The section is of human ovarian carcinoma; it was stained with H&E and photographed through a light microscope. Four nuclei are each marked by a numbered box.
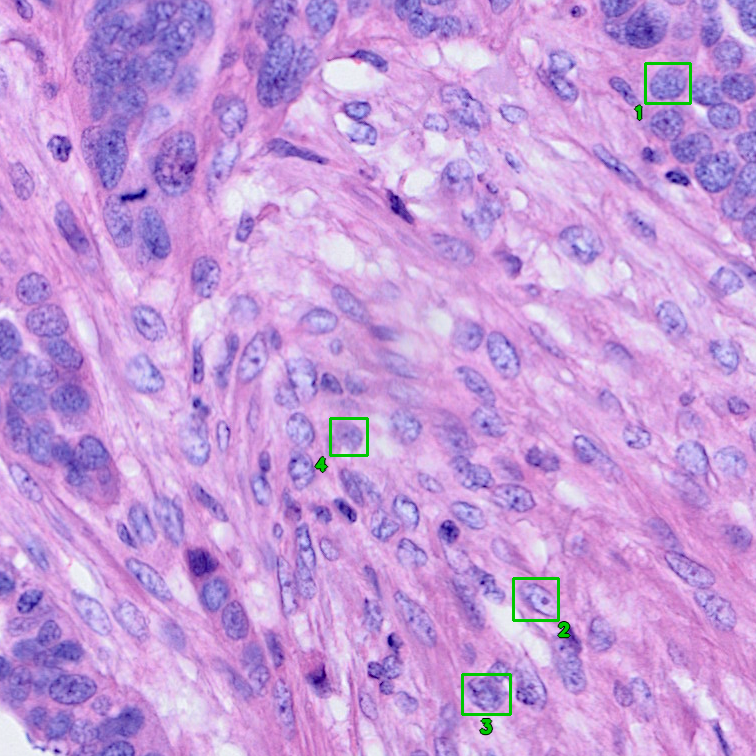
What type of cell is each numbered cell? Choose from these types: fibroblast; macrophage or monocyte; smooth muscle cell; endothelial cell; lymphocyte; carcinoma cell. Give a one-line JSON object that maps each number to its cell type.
{"1": "carcinoma cell", "2": "fibroblast", "3": "fibroblast", "4": "fibroblast"}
